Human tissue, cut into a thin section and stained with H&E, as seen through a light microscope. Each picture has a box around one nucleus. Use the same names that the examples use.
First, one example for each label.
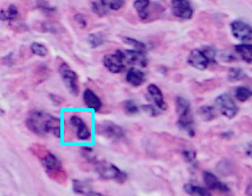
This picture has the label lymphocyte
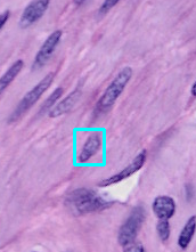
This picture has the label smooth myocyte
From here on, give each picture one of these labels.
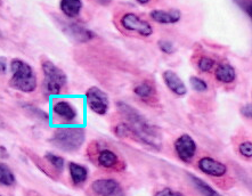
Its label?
lymphocyte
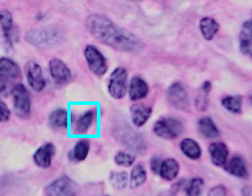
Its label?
lymphocyte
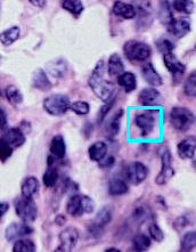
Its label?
lymphocyte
